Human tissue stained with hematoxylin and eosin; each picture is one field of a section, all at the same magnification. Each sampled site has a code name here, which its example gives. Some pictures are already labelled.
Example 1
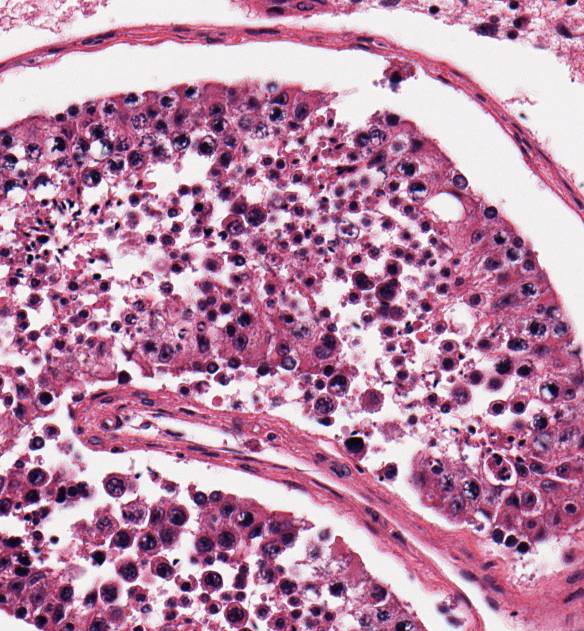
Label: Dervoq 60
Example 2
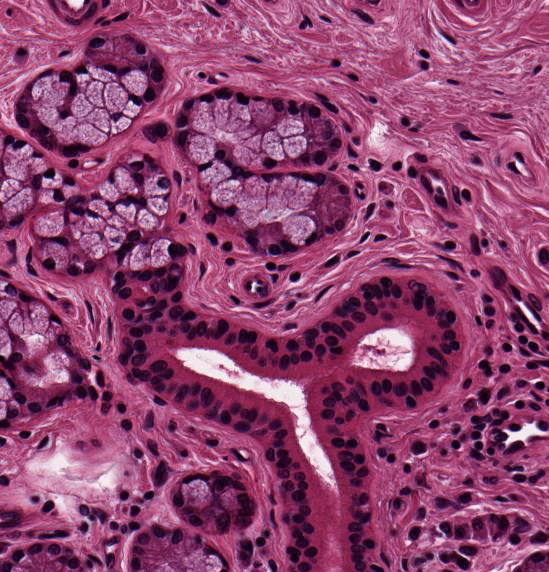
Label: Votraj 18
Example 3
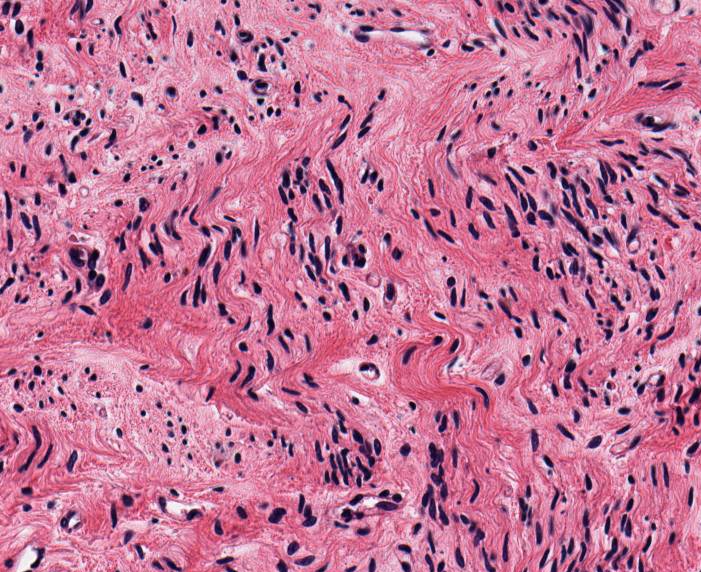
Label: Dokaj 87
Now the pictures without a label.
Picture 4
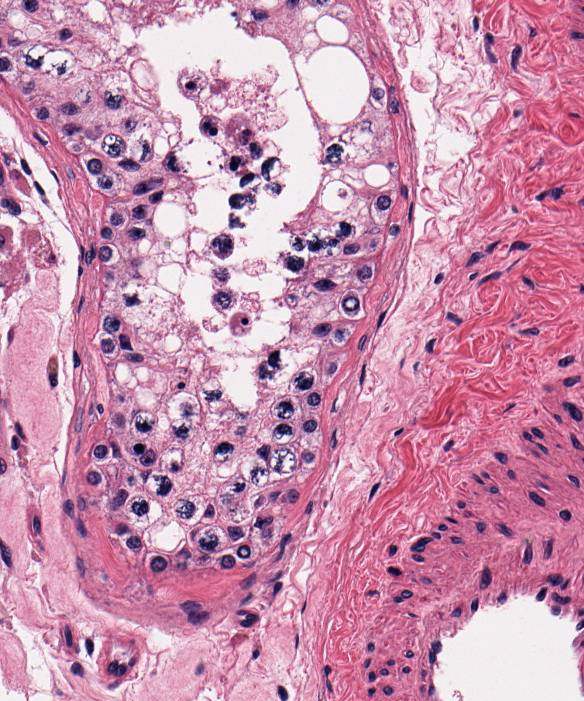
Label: Dervoq 60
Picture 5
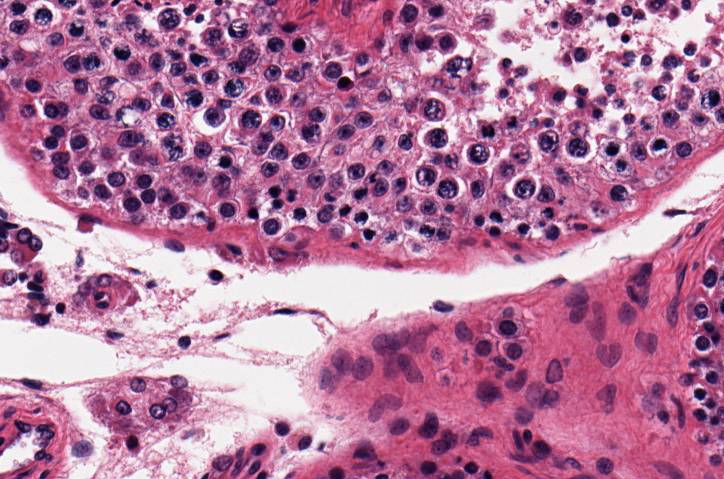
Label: Dervoq 60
